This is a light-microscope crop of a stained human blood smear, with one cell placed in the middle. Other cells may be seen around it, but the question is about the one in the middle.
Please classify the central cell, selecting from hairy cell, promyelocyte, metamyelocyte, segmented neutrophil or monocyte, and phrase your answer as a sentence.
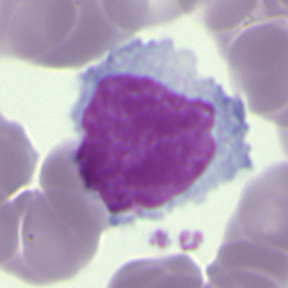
Here the centrally located cell is a monocyte.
